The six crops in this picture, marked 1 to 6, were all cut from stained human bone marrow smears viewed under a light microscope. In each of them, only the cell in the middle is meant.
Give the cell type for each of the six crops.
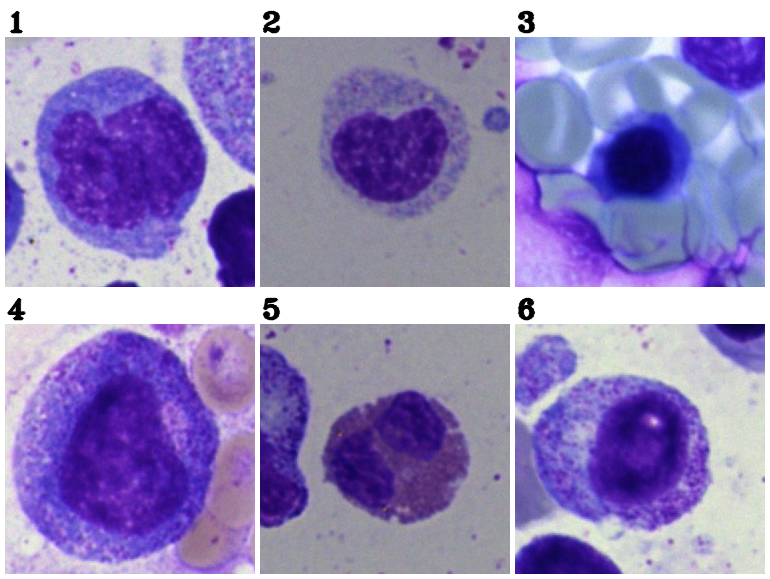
1: monocyte
2: metamyelocyte
3: normoblast
4: promyelocyte
5: eosinophil
6: myelocyte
